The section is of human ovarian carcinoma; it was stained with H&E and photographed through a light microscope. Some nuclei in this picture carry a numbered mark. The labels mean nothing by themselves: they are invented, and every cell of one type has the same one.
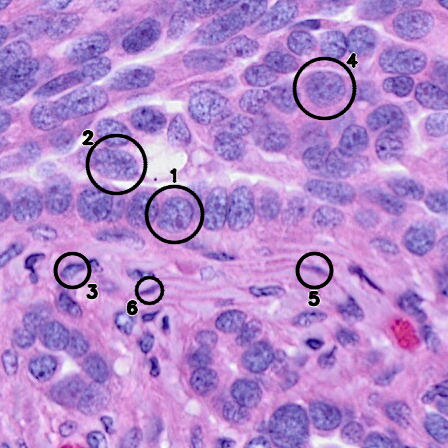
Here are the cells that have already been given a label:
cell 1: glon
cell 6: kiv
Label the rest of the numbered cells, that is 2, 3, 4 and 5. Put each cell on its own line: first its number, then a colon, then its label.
2: glon
3: kiv
4: glon
5: kiv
